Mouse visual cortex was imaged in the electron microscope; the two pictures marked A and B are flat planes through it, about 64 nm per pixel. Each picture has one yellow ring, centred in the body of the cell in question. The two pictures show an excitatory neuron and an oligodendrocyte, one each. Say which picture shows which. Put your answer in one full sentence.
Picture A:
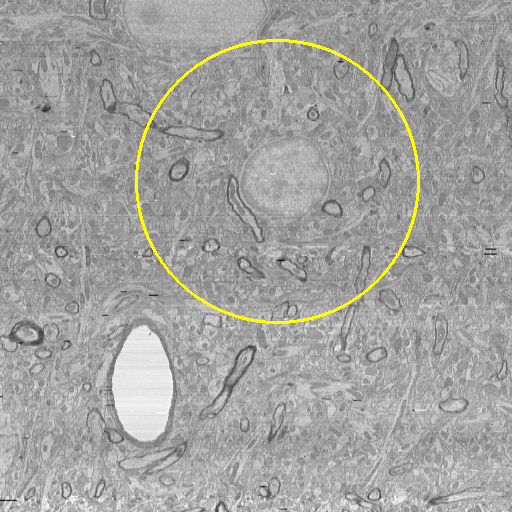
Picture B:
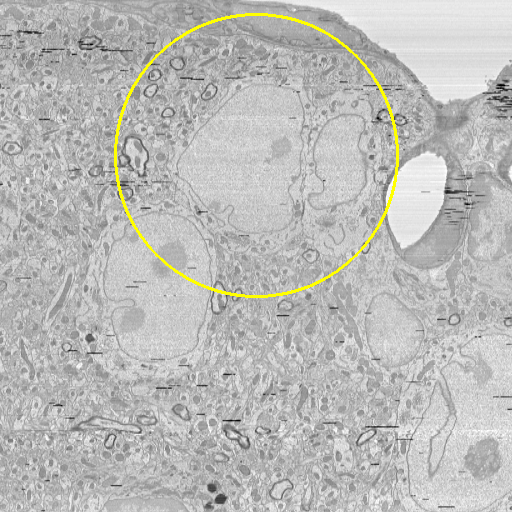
Picture B shows an excitatory neuron, while picture A shows an oligodendrocyte.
